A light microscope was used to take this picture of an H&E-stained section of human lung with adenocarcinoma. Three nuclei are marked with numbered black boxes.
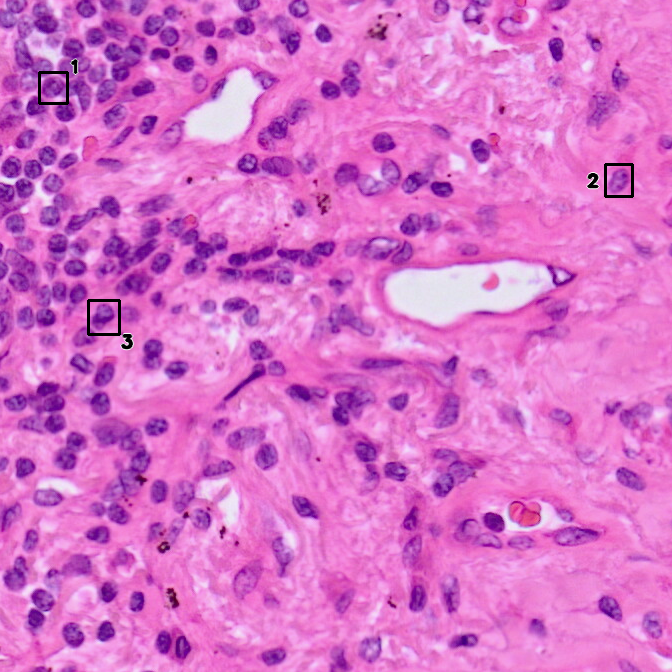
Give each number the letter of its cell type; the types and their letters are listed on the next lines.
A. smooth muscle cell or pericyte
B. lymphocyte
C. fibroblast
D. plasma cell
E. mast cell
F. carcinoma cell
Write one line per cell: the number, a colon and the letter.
1: B
2: E
3: B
